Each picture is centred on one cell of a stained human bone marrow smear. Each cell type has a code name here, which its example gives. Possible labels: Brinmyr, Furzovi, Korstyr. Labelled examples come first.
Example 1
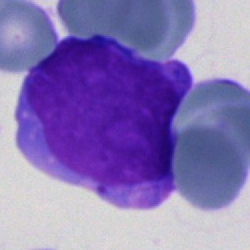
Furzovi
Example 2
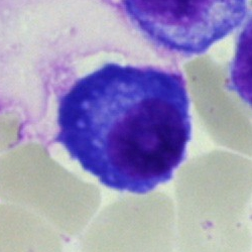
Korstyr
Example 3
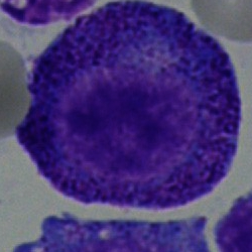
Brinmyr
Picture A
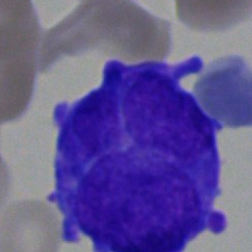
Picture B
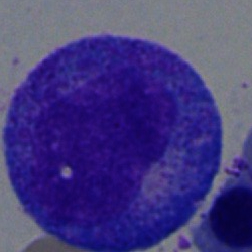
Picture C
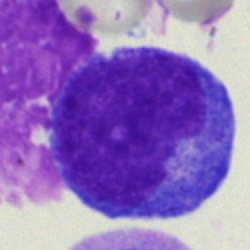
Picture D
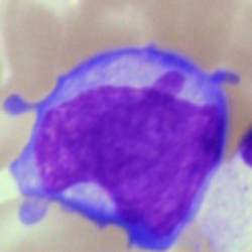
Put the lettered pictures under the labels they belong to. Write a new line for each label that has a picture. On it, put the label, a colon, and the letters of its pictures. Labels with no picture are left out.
Brinmyr: B
Furzovi: A, C, D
